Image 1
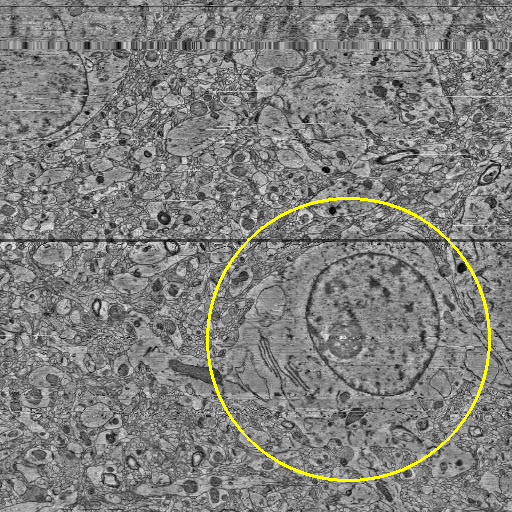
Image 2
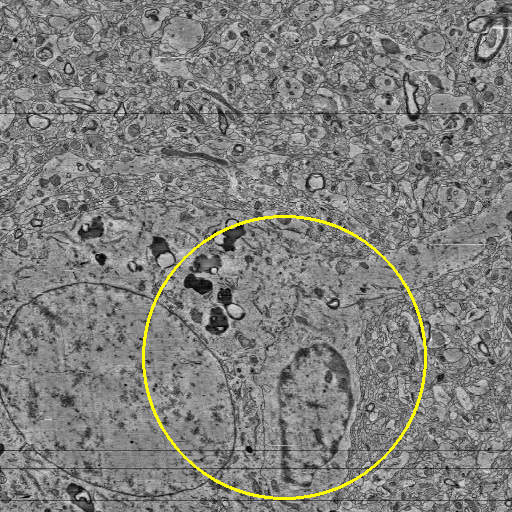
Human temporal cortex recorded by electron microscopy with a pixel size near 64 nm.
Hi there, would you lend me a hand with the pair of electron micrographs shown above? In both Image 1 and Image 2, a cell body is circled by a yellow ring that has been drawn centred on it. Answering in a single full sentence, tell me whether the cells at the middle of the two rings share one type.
No, the ringed cells in Image 1 and Image 2 belong to two types.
